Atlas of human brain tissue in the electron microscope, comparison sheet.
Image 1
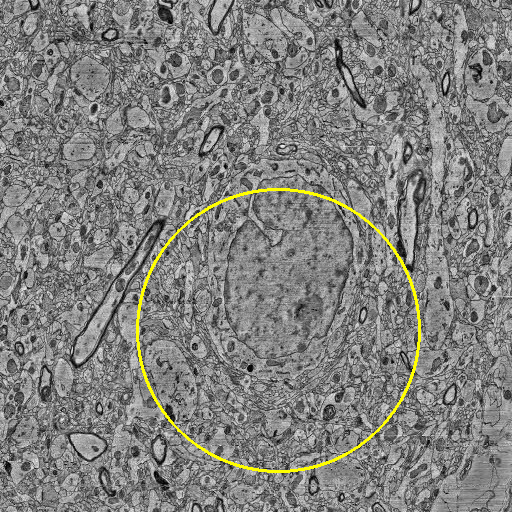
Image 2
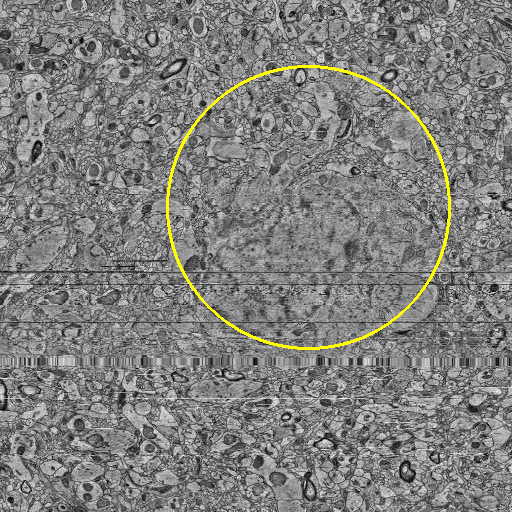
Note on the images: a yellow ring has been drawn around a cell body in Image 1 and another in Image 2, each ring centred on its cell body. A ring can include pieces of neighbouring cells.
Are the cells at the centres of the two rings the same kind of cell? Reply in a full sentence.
Yes, both cells are of the same kind.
